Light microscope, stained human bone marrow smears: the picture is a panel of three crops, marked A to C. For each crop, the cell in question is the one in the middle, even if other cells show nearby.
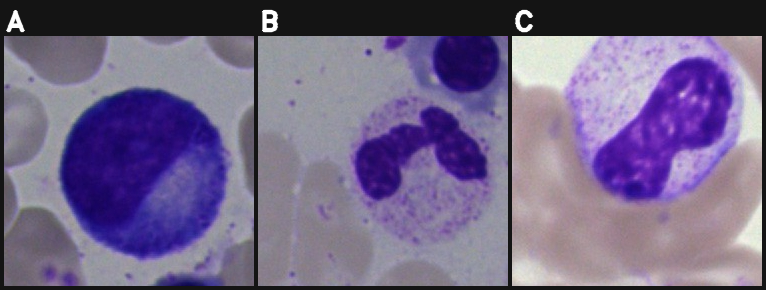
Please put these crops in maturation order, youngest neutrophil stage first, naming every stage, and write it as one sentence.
From lowest to highest maturity, the crops run crop A (a promyelocyte), crop C (a metamyelocyte) and crop B (a segmented neutrophil).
